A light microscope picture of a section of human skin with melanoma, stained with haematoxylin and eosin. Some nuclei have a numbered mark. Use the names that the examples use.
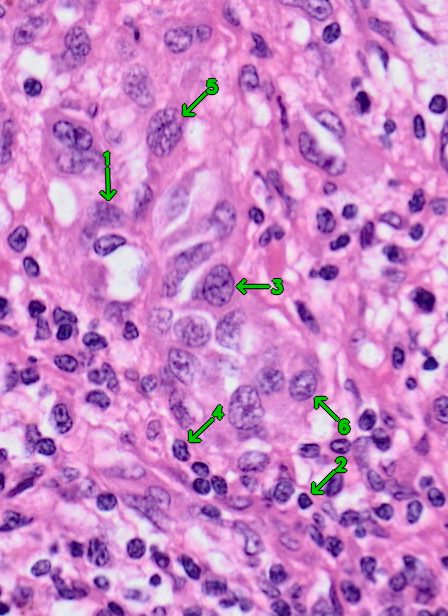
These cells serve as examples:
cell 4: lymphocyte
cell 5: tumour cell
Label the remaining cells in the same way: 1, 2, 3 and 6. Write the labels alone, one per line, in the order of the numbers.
tumour cell
lymphocyte
tumour cell
tumour cell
